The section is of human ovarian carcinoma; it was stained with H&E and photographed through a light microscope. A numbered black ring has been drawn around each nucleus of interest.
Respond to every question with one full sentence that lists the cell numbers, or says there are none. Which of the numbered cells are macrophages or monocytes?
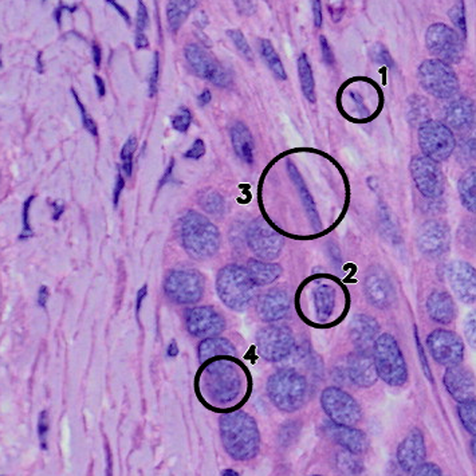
Cell 2, and no other numbered cell, is a macrophage or monocyte.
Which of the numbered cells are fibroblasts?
Classified as fibroblasts are the cells numbered 1 and 3.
